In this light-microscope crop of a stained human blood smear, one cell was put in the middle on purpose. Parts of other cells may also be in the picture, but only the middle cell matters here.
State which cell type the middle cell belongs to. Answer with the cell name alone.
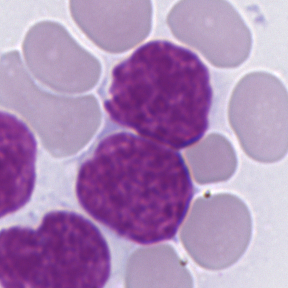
blast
